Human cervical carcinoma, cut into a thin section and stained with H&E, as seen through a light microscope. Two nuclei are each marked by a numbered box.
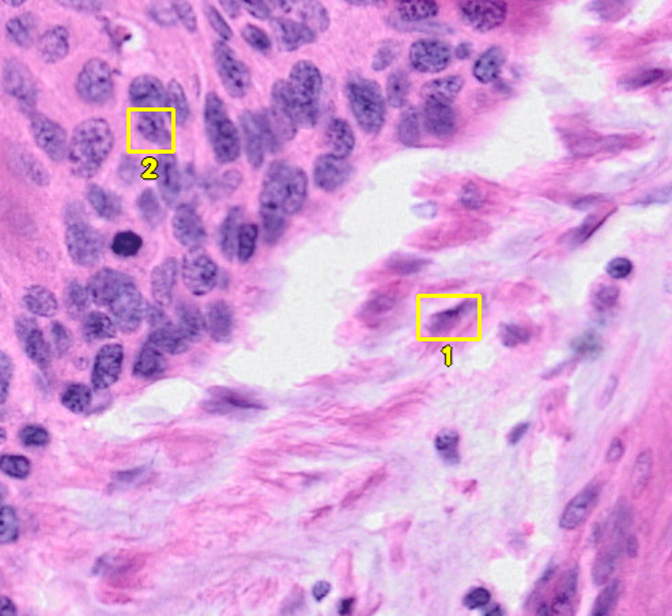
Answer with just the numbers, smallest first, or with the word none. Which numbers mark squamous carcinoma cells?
2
